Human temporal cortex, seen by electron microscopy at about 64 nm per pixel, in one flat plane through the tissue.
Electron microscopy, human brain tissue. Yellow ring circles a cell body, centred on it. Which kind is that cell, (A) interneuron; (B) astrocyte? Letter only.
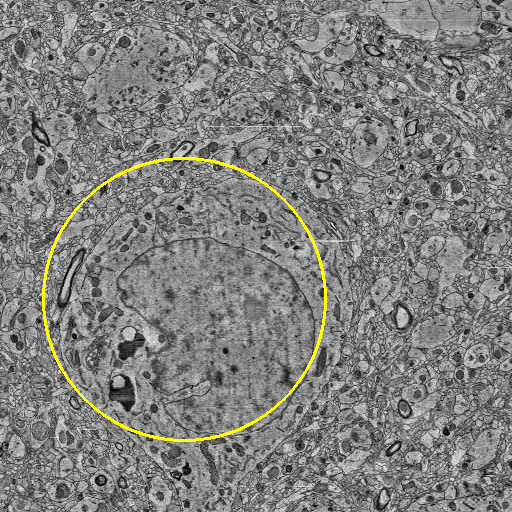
A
